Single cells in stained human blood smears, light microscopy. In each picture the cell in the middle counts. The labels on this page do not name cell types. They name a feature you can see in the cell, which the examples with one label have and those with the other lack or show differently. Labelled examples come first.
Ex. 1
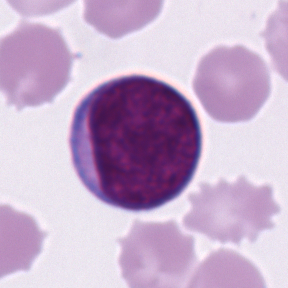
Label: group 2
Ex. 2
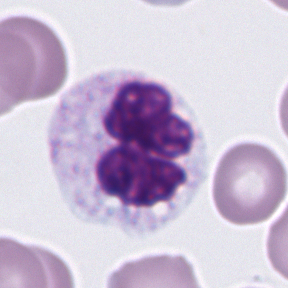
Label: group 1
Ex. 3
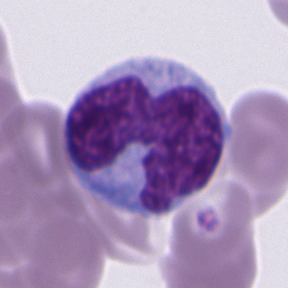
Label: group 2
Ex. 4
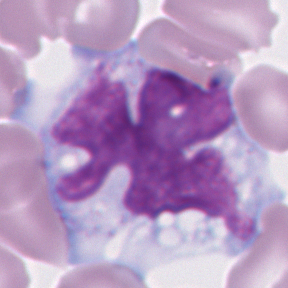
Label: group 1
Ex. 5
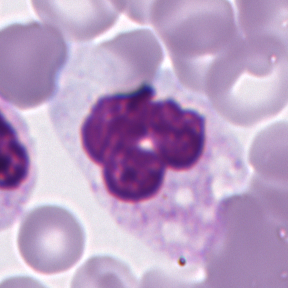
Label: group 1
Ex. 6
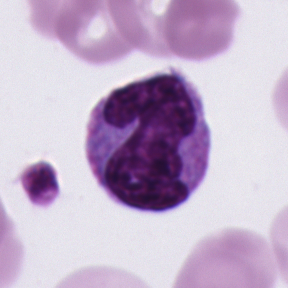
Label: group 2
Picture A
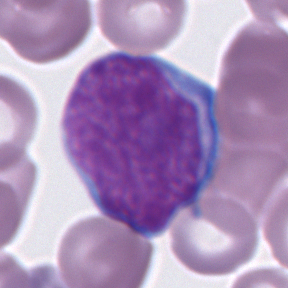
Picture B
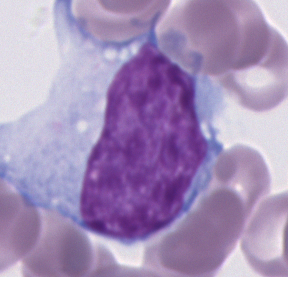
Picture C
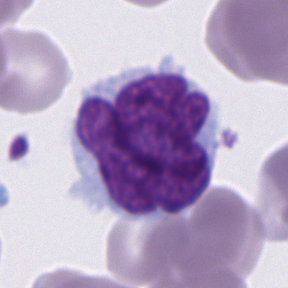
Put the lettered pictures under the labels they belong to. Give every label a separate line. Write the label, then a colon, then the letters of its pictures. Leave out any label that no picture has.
group 2: A, C
group 1: B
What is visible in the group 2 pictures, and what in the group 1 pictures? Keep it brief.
group 2, no vacuoles; group 1, vacuoles present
